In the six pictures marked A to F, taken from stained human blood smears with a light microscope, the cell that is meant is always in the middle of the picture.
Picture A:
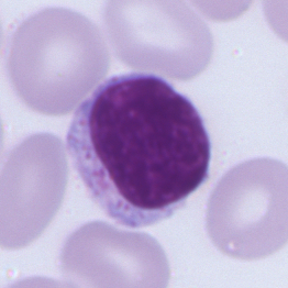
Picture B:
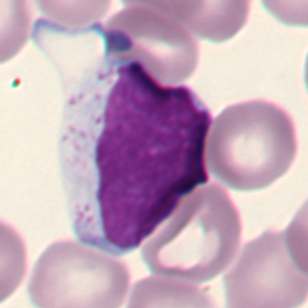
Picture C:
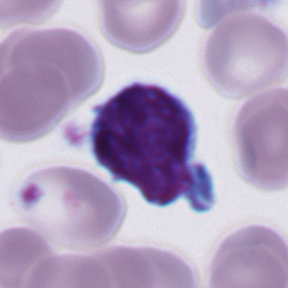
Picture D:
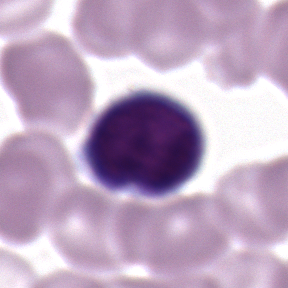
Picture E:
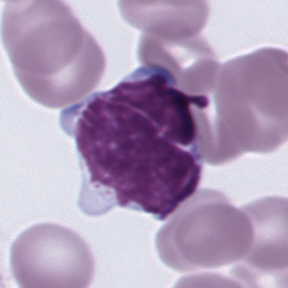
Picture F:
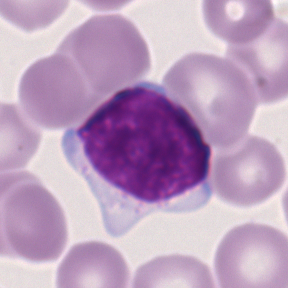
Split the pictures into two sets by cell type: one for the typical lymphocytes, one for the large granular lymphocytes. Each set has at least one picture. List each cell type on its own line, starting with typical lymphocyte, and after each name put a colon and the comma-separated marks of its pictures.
typical lymphocyte: C, D
large granular lymphocyte: A, B, E, F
